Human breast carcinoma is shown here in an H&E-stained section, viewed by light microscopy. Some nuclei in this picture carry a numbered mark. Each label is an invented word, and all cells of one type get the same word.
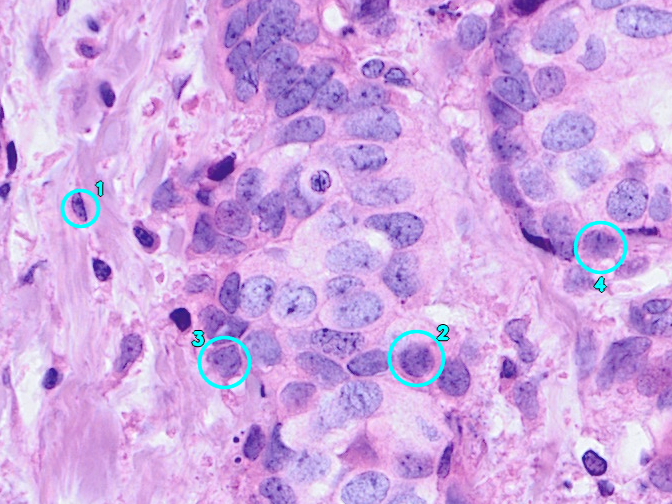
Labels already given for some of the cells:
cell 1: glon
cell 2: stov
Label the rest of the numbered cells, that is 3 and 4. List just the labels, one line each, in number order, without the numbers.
stov
stov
